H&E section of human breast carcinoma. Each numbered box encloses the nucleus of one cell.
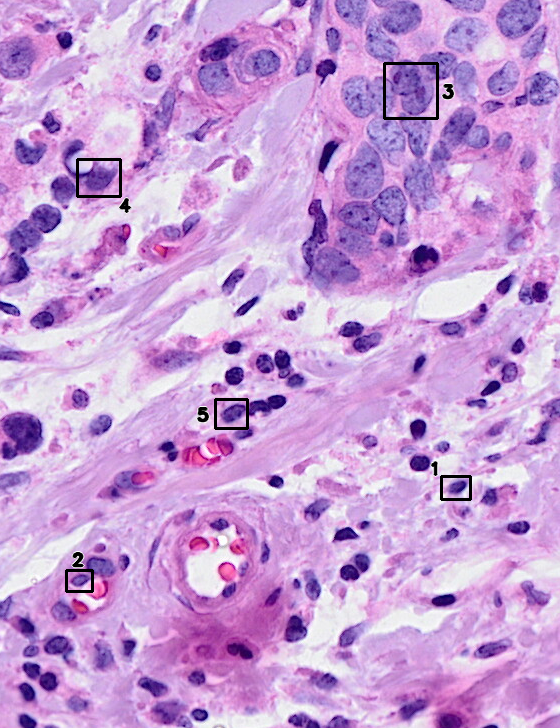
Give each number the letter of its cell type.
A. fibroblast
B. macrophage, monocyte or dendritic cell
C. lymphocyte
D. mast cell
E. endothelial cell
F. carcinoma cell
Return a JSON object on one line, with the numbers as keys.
{"1": "C", "2": "E", "3": "F", "4": "F", "5": "C"}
